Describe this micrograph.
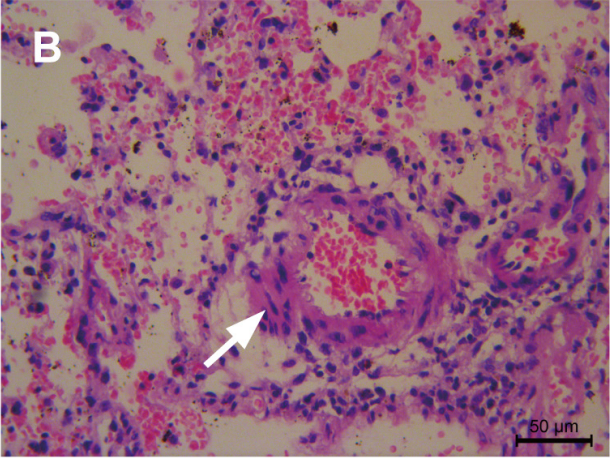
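Lung tissue with a pulmonary artery in the center whose wall is thick and pink, made of several layers of elongated smooth muscle nuclei. The arterial lumen is densely packed with red blood cells. Around the vessel the alveolar walls are thickened and crowded with many dark purple nuclei of infiltrating cells. Numerous red blood cells lie free in the interstitium and airspaces, and the normal open alveolar pattern is largely lost. Scattered brown-black granules are present in the tissue.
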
